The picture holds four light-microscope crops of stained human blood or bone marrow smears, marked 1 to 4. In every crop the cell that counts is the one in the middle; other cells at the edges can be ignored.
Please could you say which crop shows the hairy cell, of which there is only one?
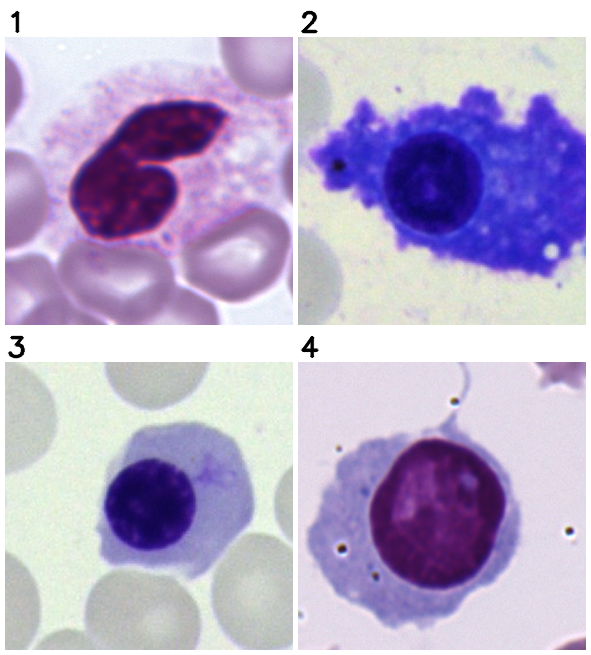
4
